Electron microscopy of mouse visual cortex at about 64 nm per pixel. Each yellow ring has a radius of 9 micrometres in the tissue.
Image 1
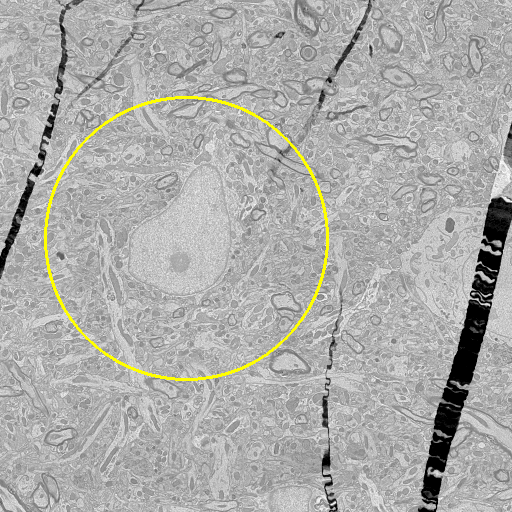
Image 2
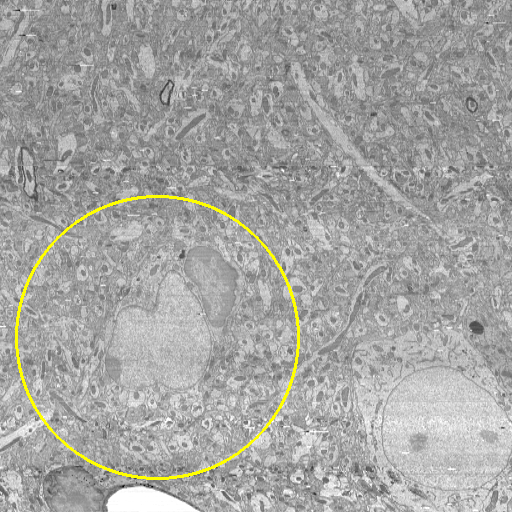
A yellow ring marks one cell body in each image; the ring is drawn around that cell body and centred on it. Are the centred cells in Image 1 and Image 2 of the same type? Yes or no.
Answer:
yes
